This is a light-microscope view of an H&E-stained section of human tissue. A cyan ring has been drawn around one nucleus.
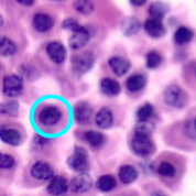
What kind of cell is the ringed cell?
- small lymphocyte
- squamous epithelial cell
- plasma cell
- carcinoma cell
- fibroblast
plasma cell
